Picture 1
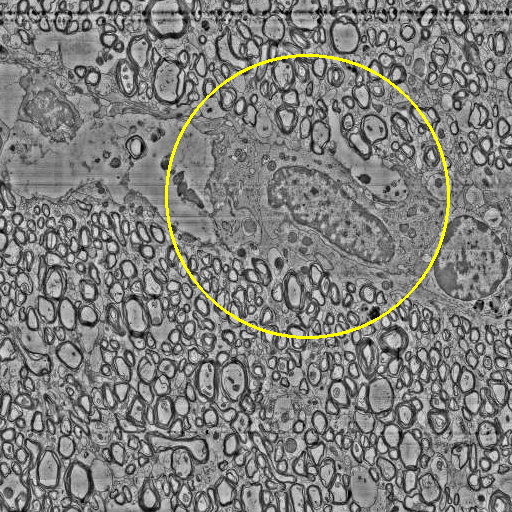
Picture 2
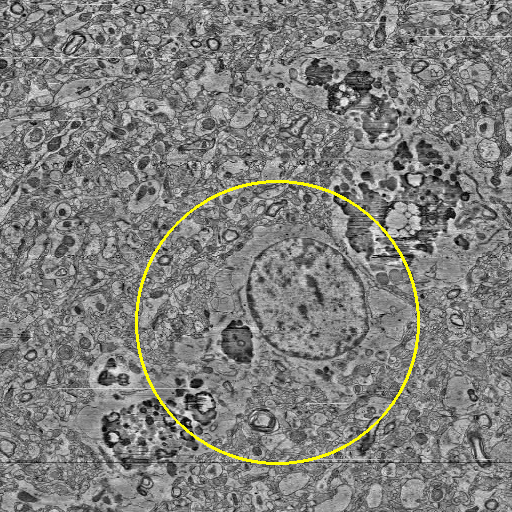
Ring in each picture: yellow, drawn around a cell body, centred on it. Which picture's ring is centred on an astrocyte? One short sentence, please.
Picture 2 is the one.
